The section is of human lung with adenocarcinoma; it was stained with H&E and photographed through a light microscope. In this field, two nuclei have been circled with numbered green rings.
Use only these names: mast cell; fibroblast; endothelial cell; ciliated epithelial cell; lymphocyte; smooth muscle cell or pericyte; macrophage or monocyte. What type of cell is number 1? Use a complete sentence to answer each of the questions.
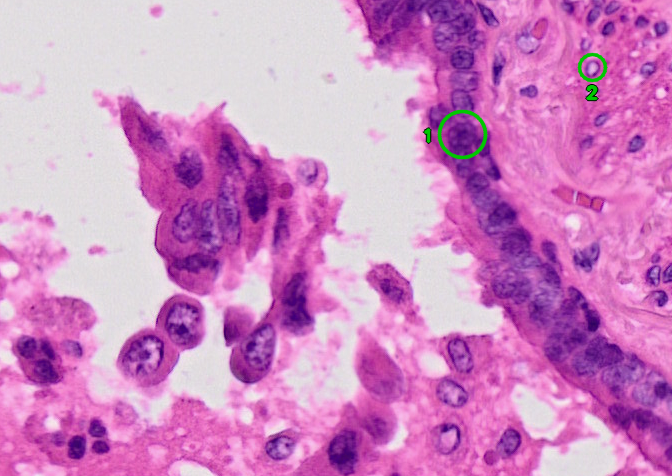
Belonging to a ciliated epithelial cell is the nucleus that carries the number 1.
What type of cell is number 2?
The one numbered 2 among the marked cells is a smooth muscle cell or pericyte.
